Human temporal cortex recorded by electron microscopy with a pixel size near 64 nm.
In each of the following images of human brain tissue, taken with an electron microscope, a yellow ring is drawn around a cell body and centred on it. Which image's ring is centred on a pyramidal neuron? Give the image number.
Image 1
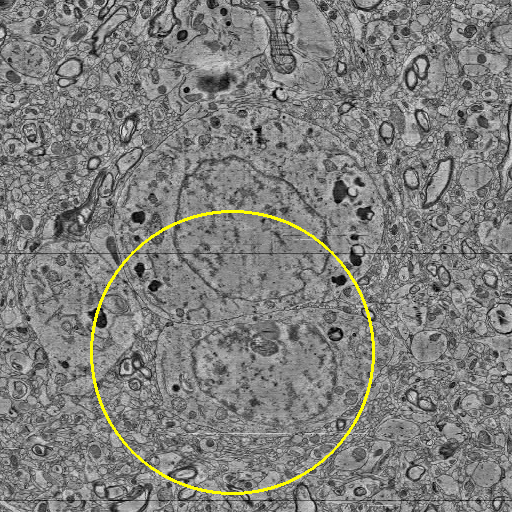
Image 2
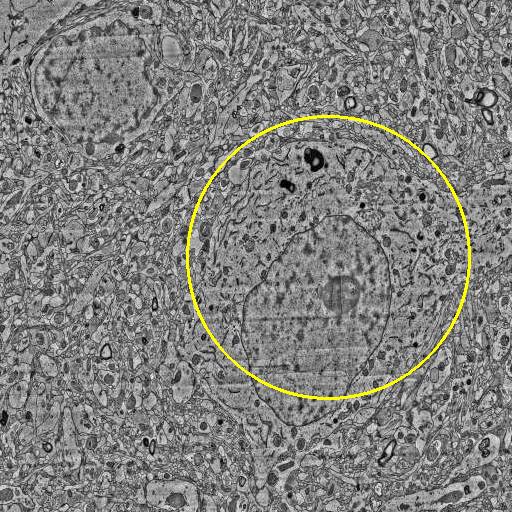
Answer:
2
